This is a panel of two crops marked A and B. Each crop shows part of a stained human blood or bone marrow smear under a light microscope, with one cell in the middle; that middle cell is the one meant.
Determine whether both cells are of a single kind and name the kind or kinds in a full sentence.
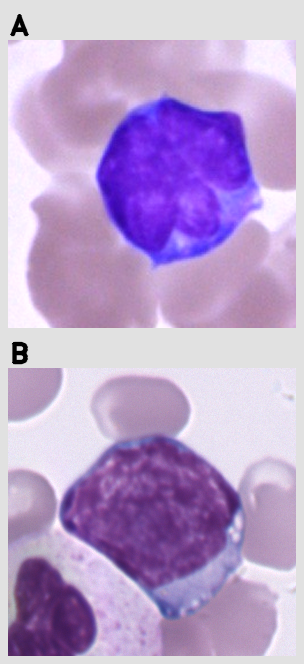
Yes, both crops show blasts, and nothing else needs adding.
